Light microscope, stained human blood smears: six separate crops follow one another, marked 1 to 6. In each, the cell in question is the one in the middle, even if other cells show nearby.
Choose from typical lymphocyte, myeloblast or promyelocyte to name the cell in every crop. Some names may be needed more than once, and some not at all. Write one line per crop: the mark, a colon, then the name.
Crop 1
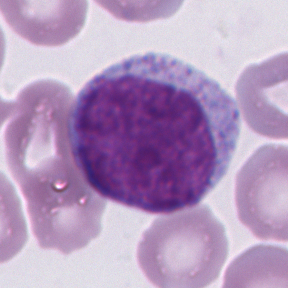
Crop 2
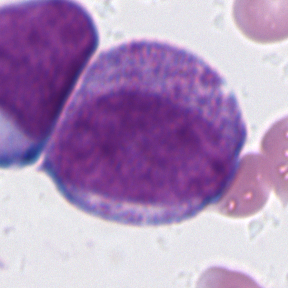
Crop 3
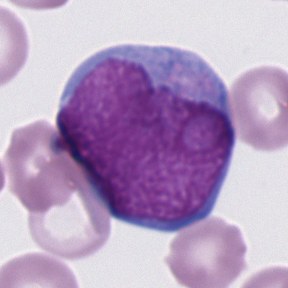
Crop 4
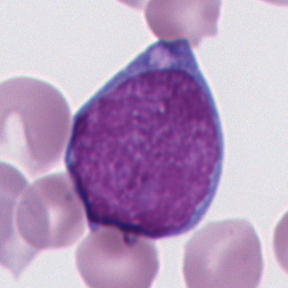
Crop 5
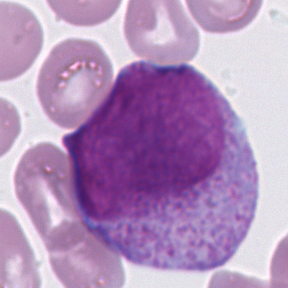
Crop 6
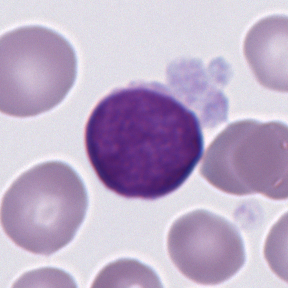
1: promyelocyte
2: promyelocyte
3: myeloblast
4: myeloblast
5: promyelocyte
6: myeloblast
